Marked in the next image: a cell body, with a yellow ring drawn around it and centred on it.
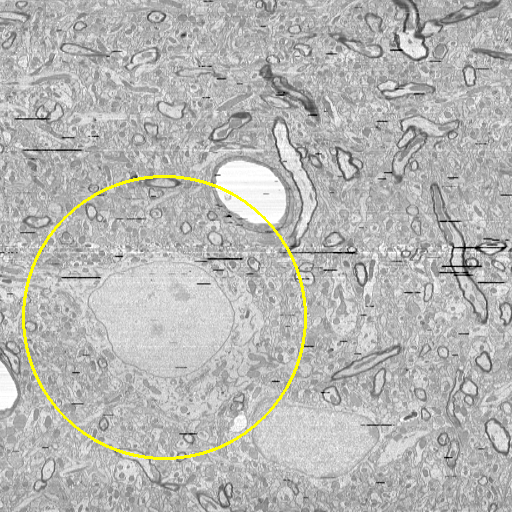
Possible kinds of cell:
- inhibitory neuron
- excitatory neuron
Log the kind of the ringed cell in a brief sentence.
The ringed cell body is that of an excitatory neuron.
